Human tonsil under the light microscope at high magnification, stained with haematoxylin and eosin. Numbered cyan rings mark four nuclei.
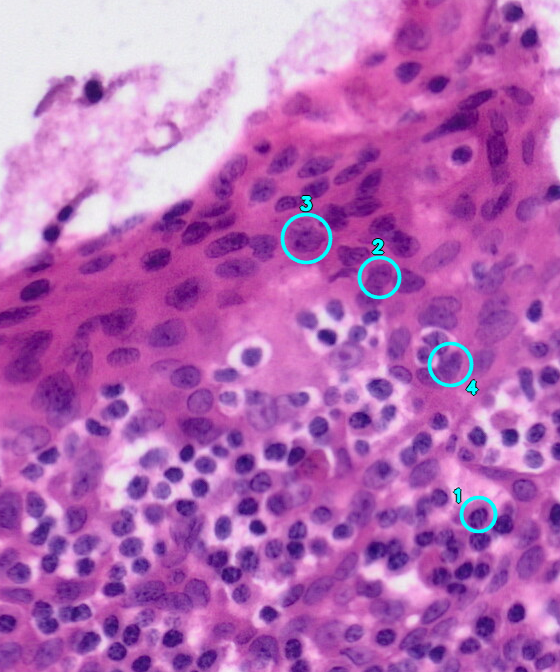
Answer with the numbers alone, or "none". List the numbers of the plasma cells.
1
